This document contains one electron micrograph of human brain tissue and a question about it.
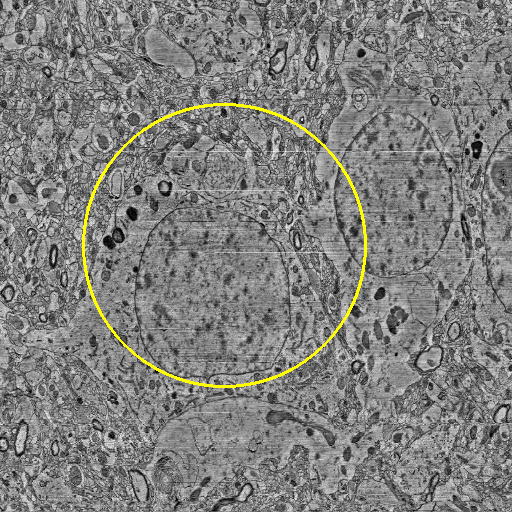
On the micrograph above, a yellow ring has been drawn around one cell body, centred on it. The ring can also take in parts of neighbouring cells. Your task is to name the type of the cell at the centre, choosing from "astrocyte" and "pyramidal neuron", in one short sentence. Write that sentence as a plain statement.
Here the ring is centred on a pyramidal neuron.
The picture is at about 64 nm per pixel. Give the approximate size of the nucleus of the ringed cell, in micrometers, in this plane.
Approximately 12 micrometres across, in this plane.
